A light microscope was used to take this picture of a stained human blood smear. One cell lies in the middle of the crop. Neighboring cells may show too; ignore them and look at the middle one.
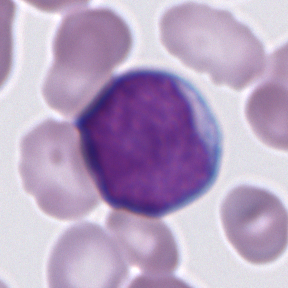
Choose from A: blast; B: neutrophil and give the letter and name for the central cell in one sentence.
Answer key: option A, the middle cell being a blast.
